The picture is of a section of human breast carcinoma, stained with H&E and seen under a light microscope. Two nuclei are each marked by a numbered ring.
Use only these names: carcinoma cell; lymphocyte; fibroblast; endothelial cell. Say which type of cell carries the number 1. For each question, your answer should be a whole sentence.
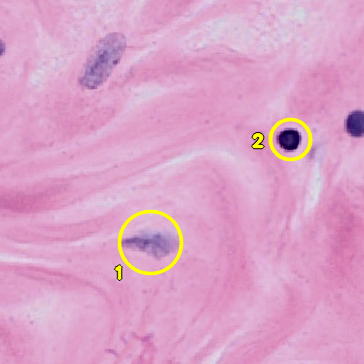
The cell indicated with the number 1 is classed as a fibroblast.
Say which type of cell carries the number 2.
Here the cell numbered 2 is a lymphocyte.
